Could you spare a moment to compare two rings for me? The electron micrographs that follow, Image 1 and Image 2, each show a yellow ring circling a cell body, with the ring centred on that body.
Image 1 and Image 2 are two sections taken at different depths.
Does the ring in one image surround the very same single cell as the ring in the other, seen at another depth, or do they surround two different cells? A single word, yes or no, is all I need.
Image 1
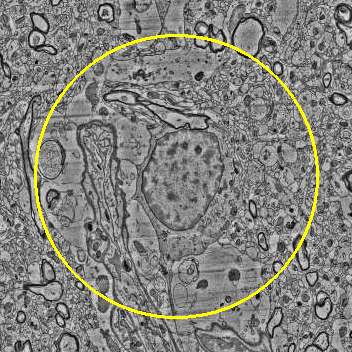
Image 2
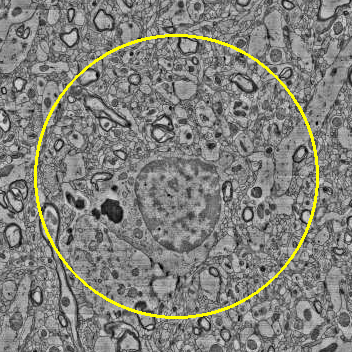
no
